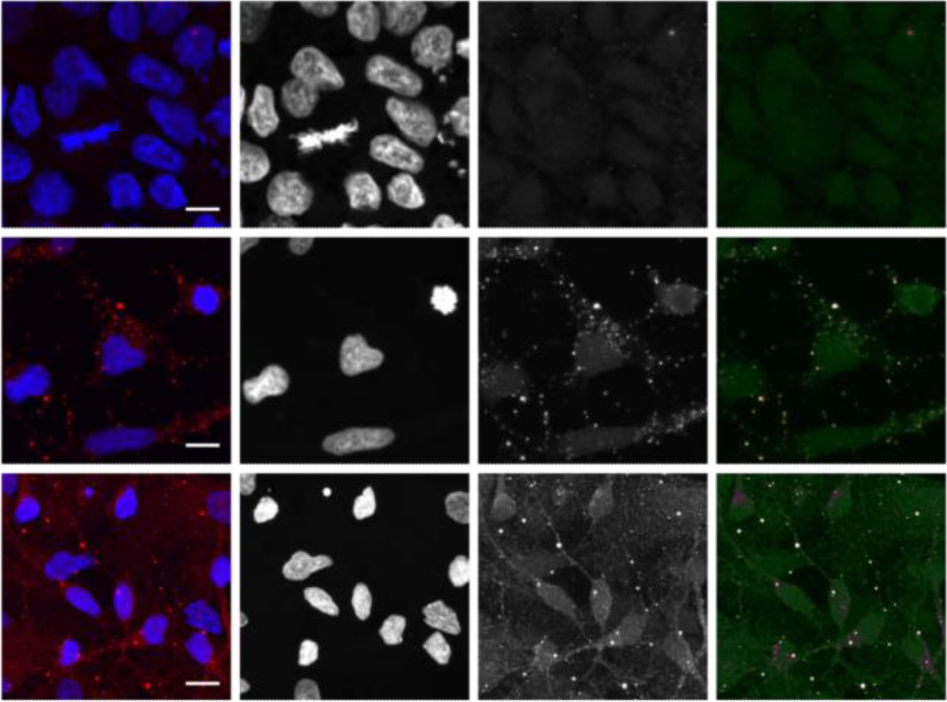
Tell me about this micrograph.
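Three rows of cultured cells are shown: in the top row tightly packed cells with large oval nuclei, one of them a mitotic figure with condensed chromosomes, show almost no red staining. In the middle row fewer, spread-out cells carry scattered red puncta in their cytoplasm and along short extensions. In the bottom row neurons with small oval nuclei extend a network of fine processes, with red staining along the cell bodies and processes and bright puncta dotted along them.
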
